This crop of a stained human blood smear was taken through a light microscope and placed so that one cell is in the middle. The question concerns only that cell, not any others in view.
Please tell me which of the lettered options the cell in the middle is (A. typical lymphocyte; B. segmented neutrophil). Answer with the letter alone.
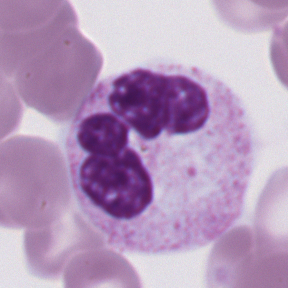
B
